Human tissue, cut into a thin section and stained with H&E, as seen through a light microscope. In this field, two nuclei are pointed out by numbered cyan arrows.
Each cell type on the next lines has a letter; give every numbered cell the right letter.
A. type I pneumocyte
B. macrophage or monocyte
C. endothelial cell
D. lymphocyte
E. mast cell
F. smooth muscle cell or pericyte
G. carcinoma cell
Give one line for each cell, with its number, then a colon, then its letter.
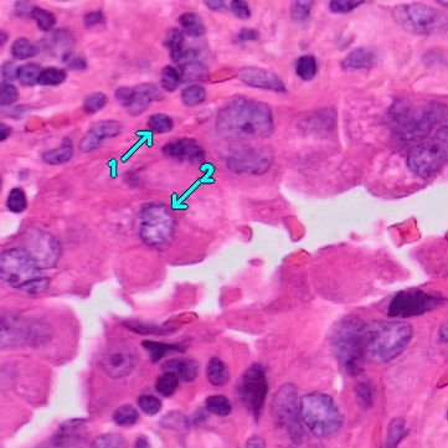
1: D
2: G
